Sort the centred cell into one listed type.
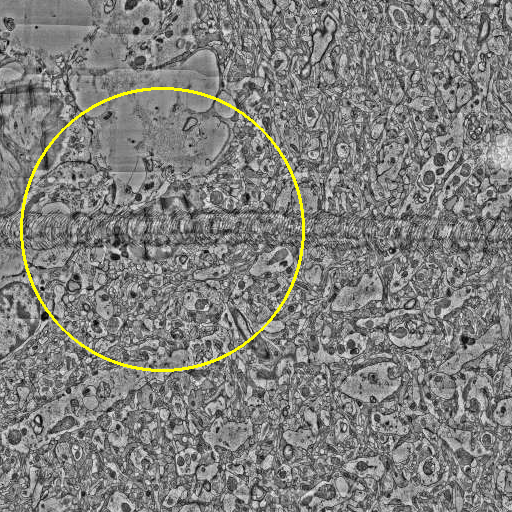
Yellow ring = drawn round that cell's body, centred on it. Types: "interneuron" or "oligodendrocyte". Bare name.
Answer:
oligodendrocyte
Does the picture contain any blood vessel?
Yes, there is a blood vessel.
